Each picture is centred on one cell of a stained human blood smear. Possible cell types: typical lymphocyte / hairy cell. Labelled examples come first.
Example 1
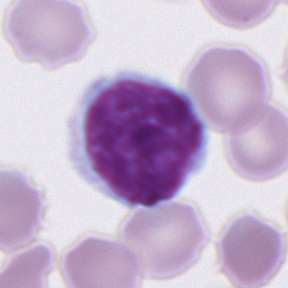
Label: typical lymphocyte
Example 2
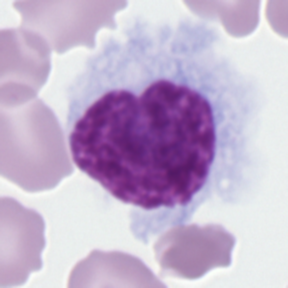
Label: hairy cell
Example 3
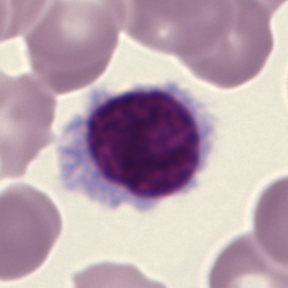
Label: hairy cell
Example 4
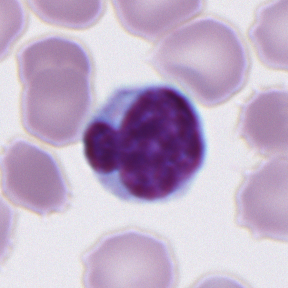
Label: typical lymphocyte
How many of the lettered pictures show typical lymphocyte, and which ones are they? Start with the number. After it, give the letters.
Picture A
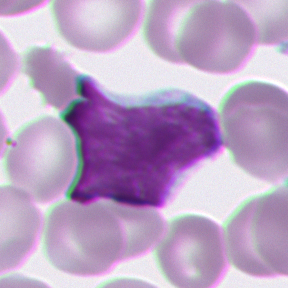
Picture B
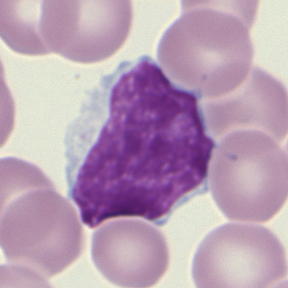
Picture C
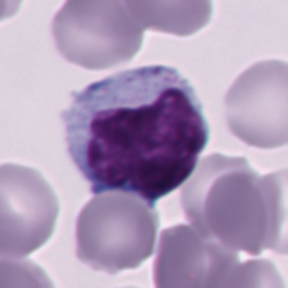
3: A, B, C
